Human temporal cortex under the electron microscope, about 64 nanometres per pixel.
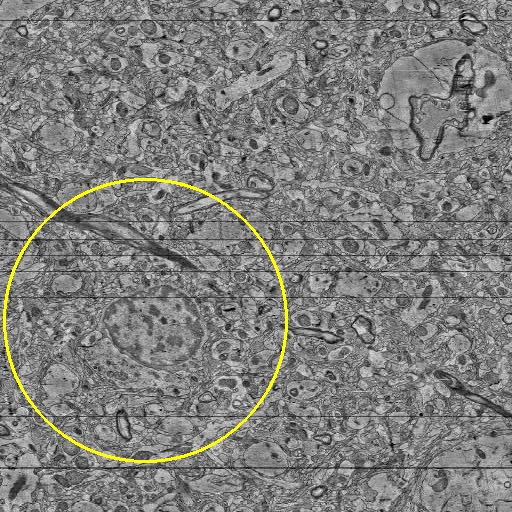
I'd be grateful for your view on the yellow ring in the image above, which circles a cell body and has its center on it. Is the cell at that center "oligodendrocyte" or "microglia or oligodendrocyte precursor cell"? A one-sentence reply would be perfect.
The cell at the center of the yellow ring is an oligodendrocyte.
